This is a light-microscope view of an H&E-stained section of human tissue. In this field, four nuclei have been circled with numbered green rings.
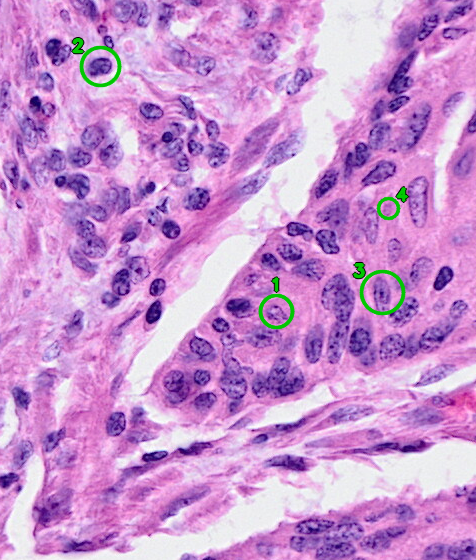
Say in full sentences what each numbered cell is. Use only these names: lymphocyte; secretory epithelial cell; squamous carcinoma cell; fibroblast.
Cells 1, 3 and 4 are squamous carcinoma cells. Cell 2 is a lymphocyte.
